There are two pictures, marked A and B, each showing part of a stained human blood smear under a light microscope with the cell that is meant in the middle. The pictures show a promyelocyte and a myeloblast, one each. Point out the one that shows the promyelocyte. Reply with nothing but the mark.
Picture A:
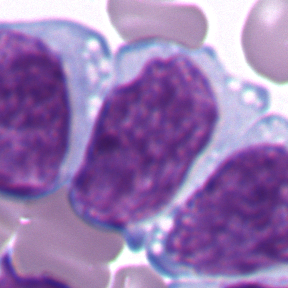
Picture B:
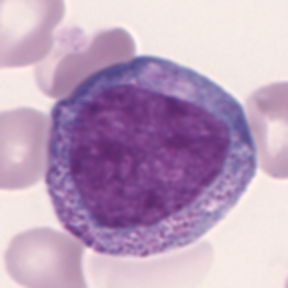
B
